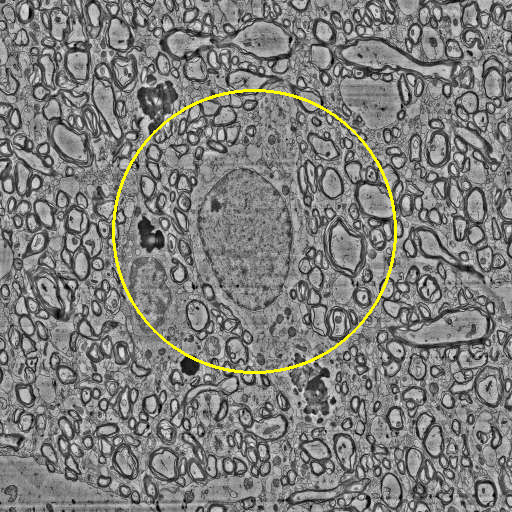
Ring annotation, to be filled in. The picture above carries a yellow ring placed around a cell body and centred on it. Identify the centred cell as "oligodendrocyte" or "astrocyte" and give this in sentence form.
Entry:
The cell in the middle of the ring is an astrocyte.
